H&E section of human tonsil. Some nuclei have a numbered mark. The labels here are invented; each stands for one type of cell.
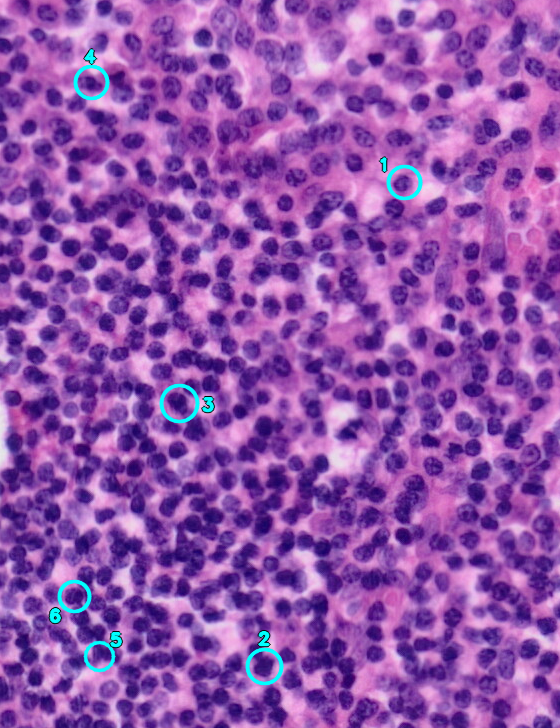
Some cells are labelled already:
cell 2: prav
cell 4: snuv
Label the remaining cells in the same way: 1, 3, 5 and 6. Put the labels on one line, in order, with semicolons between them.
snuv; prav; prav; prav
